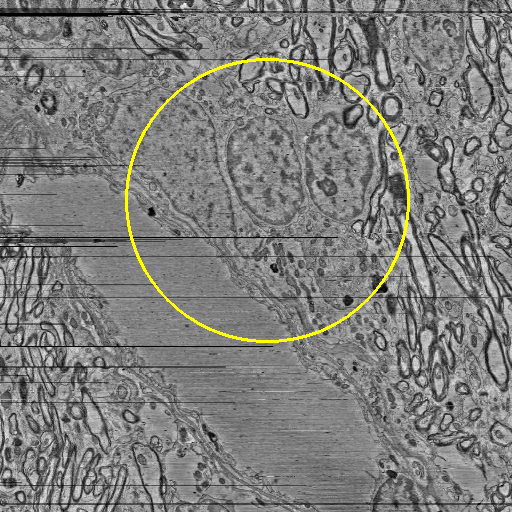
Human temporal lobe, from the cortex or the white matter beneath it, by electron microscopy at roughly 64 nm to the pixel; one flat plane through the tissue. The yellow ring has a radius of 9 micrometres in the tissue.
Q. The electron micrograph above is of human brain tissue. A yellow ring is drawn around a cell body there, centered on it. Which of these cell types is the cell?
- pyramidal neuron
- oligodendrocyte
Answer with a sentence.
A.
The cell under the ring's center is an oligodendrocyte.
